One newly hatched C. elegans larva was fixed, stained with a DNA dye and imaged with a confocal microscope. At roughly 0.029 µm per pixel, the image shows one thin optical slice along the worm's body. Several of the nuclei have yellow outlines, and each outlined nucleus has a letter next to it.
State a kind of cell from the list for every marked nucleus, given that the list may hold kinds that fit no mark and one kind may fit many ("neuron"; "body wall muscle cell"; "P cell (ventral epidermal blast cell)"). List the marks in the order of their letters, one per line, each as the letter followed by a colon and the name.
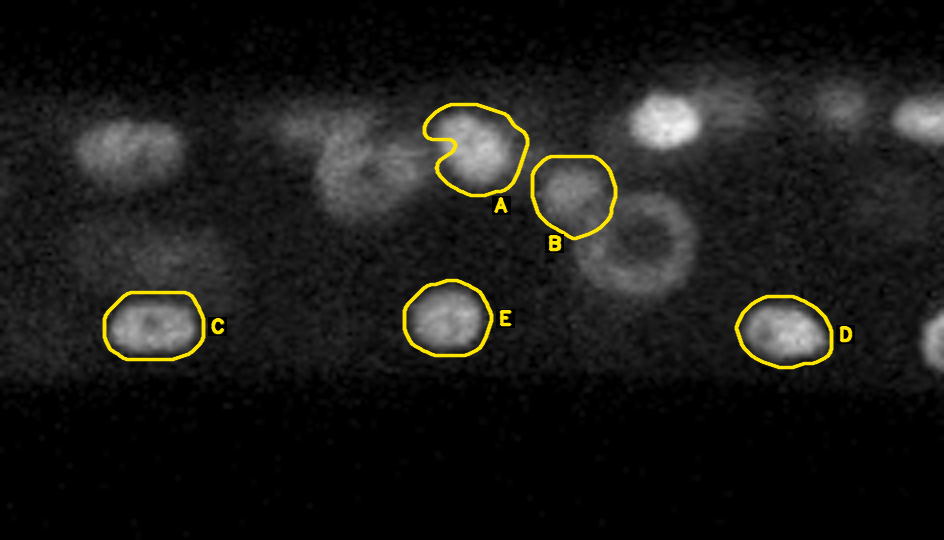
A: neuron
B: neuron
C: body wall muscle cell
D: body wall muscle cell
E: body wall muscle cell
